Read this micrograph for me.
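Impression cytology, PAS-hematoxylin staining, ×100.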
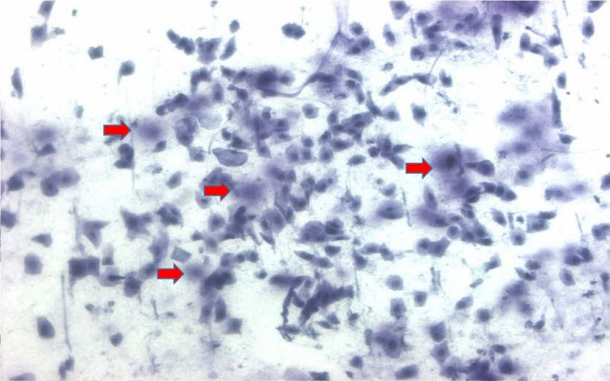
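Most cells are small, with darkly stained purple nuclei and little cytoplasm, and some have thin tail-like extensions. Among them lie several larger rounded cells with broad, diffusely purple-stained cytoplasm; these are the goblet cells. Faint purple smudgy material lies in patches between the cells. The cells are crowded and overlapping in the centre, with emptier, paler areas toward the edges.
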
